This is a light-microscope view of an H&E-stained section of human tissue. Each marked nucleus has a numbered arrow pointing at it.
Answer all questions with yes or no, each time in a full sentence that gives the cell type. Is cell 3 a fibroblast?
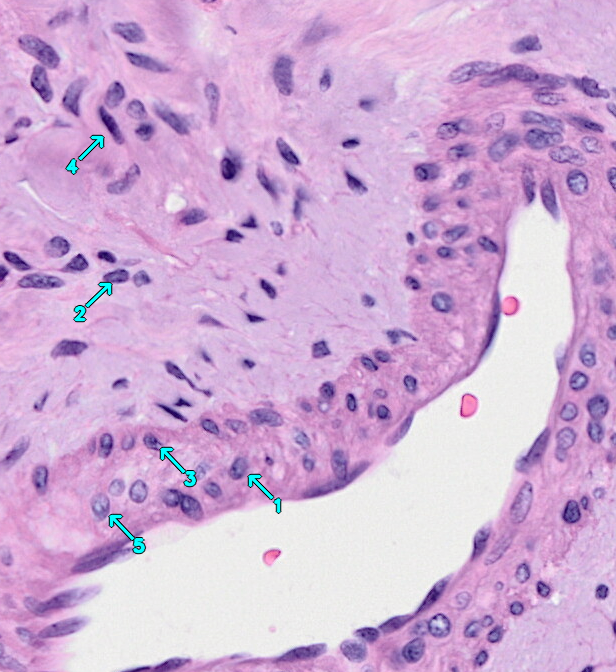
No, instead of a fibroblast, the cell with number 3 is a smooth muscle cell.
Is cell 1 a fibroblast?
No, the cell given the number 1 is a smooth muscle cell, so not a fibroblast.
